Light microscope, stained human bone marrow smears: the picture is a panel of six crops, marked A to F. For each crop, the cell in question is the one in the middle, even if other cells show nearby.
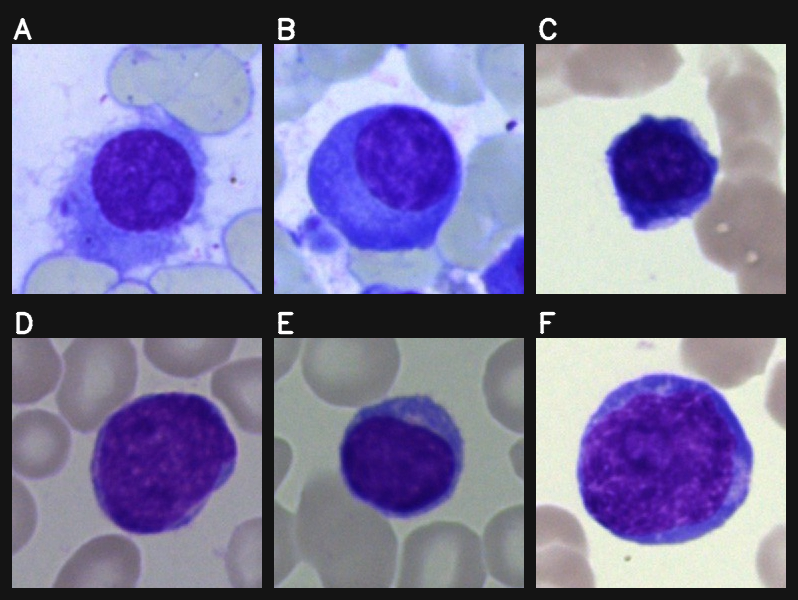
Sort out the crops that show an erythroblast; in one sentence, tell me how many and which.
In the whole series, a single crop, crop C, contains an erythroblast.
